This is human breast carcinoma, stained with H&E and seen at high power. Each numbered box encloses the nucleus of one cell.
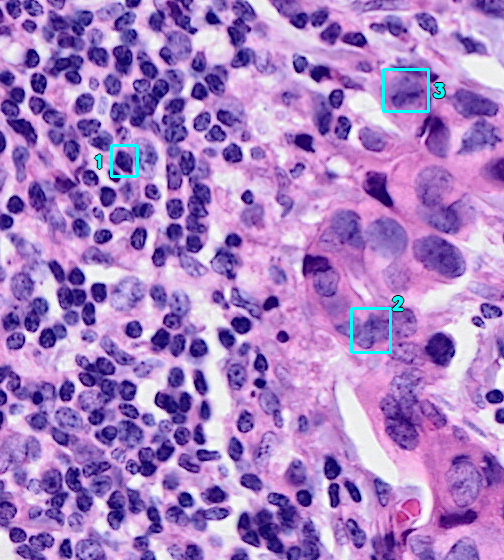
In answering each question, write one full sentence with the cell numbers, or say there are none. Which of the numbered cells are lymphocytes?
Where the numbered cells are concerned, only number 1 is a lymphocyte.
